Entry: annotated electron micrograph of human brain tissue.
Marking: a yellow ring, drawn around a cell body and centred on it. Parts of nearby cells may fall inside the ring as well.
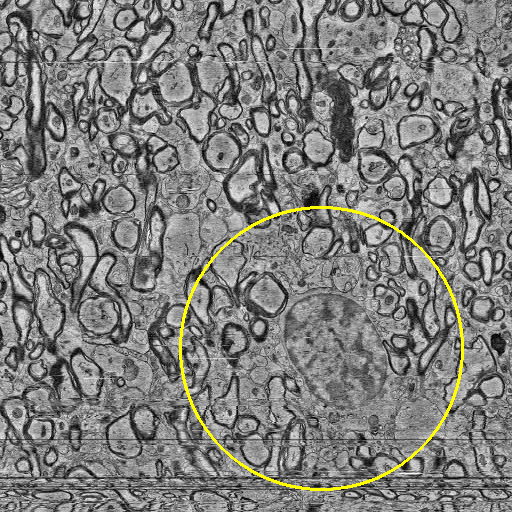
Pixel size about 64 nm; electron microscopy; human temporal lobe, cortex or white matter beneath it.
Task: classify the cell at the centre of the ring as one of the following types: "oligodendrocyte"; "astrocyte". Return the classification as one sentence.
The marked cell is classified as an oligodendrocyte.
